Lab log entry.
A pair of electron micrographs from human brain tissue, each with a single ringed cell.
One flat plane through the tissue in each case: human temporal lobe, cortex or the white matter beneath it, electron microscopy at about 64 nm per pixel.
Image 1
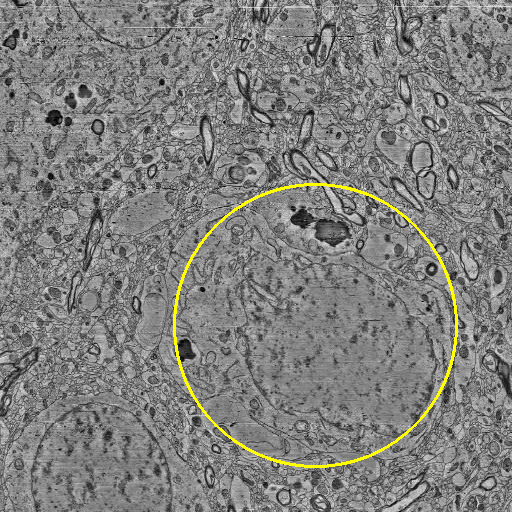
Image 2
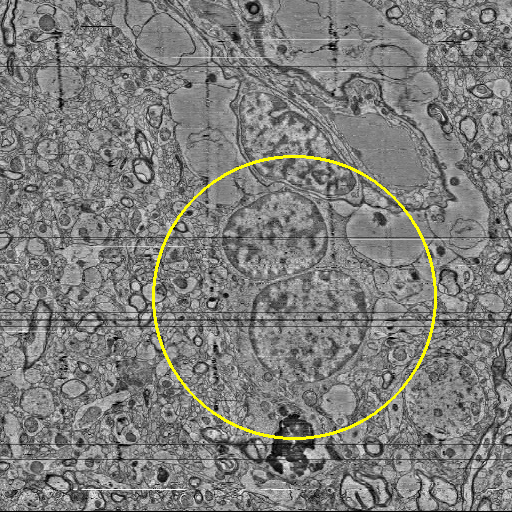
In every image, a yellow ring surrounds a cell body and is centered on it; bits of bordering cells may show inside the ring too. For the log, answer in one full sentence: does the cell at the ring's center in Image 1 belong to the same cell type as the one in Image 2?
No, the cells at the ring centers in Image 1 and Image 2 are of separate types.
